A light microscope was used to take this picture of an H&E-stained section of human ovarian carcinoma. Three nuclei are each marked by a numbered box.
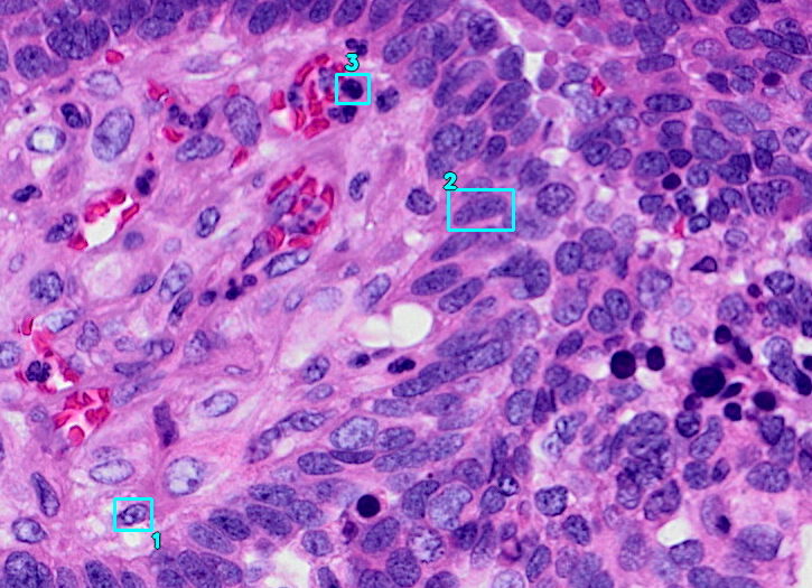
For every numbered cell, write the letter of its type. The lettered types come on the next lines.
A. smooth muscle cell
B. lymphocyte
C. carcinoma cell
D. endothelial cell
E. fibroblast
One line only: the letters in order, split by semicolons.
E; C; B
